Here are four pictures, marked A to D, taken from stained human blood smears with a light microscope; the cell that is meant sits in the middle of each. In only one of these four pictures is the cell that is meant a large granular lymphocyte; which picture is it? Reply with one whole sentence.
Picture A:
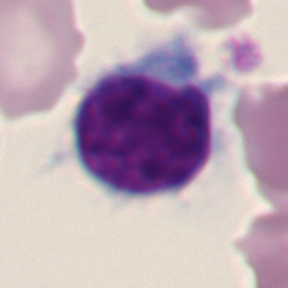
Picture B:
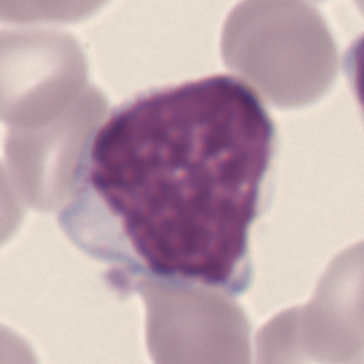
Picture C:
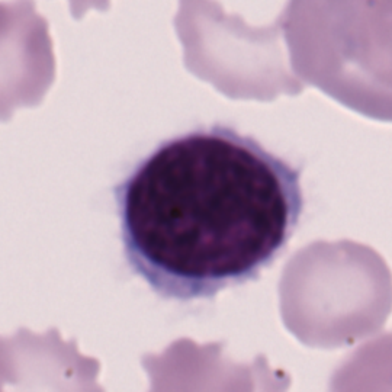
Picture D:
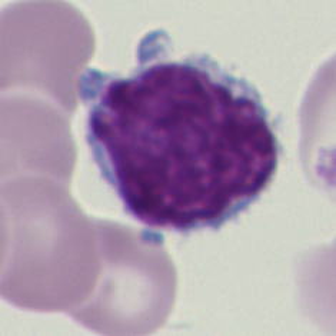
It is picture B that shows the large granular lymphocyte.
